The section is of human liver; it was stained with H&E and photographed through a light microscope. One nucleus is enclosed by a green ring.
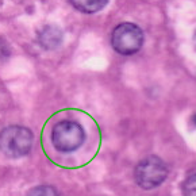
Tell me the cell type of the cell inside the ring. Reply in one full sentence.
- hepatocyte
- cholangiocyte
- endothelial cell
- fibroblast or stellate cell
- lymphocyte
In this section, the cell inside the ring is a hepatocyte.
